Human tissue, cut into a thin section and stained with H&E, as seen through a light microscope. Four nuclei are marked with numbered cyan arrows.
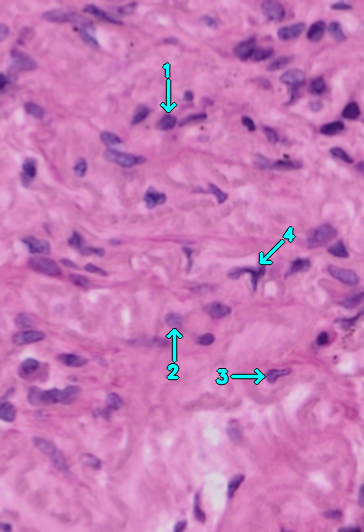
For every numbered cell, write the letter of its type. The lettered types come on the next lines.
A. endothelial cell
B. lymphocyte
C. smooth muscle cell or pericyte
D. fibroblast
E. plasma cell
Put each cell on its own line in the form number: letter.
1: E
2: C
3: C
4: D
